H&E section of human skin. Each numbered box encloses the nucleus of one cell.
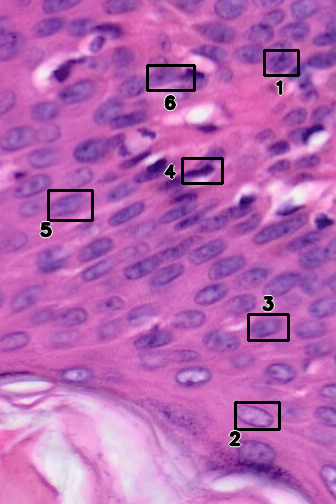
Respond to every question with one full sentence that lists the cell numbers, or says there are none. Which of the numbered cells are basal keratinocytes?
The cells referred to by the numbers 1, 4 and 6 are basal keratinocytes.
